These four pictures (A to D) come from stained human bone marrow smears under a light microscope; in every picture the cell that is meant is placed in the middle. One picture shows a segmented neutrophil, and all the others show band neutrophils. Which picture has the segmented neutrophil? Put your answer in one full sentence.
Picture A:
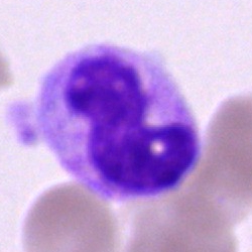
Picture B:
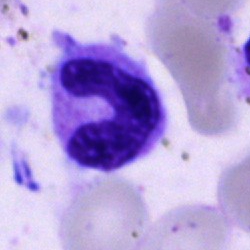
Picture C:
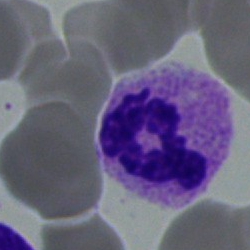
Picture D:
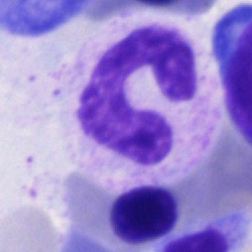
The picture with the segmented neutrophil is C.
